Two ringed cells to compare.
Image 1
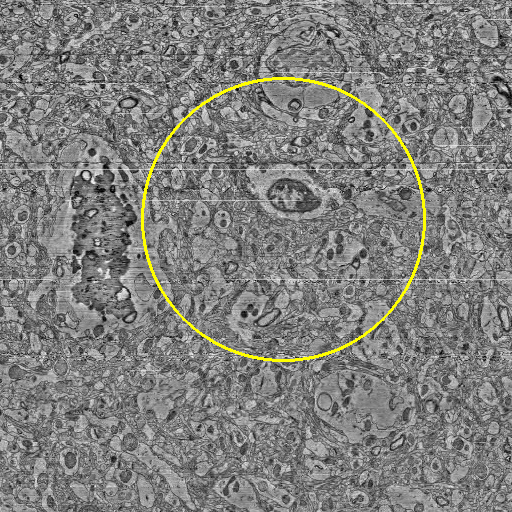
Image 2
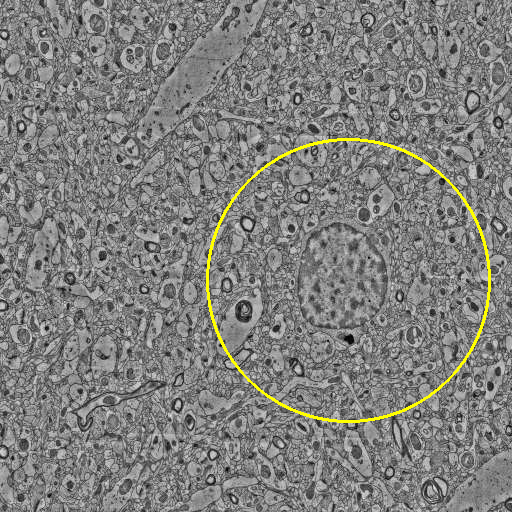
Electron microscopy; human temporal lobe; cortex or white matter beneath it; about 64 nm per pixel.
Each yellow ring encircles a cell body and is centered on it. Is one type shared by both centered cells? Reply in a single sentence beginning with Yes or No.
No, two types are found among the cells at the centers of the rings.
